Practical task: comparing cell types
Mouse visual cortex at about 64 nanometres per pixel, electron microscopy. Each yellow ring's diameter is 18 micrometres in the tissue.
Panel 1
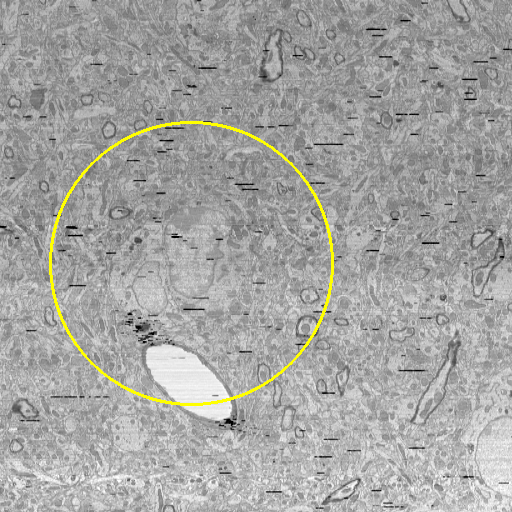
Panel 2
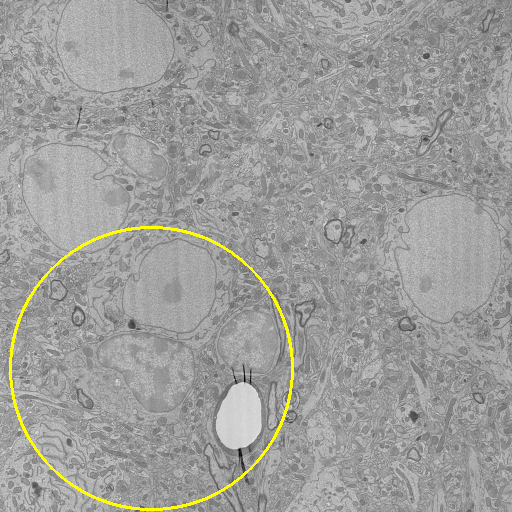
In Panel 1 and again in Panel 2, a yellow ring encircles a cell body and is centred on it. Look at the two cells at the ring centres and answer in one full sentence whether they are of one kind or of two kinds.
The two cells sitting at the ring centres of Panels 1 and 2 are of one kind.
